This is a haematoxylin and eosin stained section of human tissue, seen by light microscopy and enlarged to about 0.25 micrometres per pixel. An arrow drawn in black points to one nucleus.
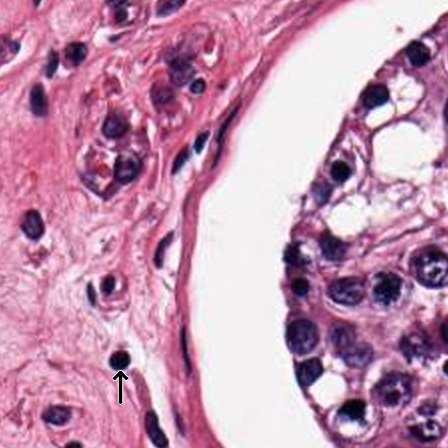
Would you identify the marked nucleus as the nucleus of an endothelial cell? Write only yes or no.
no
